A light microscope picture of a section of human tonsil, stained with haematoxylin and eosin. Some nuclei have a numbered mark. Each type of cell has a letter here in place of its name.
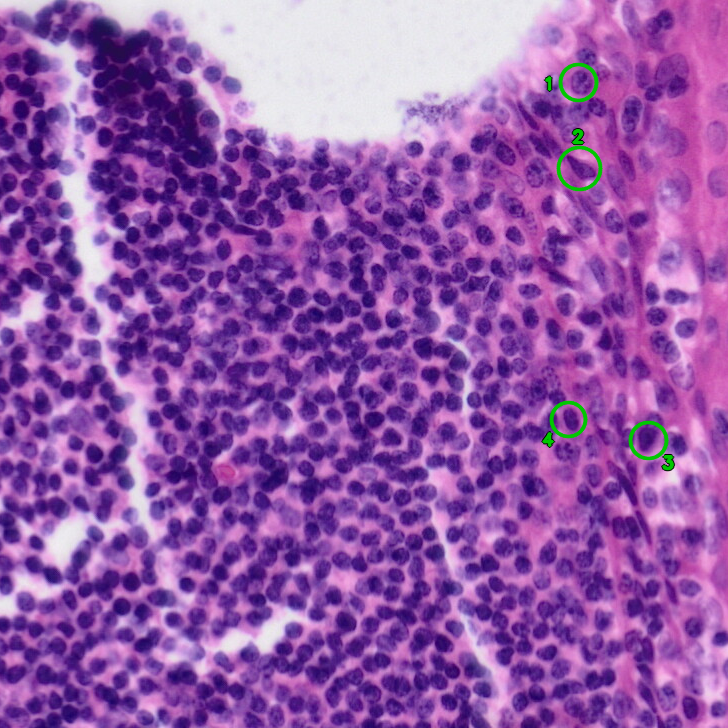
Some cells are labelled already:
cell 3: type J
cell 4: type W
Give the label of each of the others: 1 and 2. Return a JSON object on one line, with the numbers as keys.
{"1": "type W", "2": "type J"}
